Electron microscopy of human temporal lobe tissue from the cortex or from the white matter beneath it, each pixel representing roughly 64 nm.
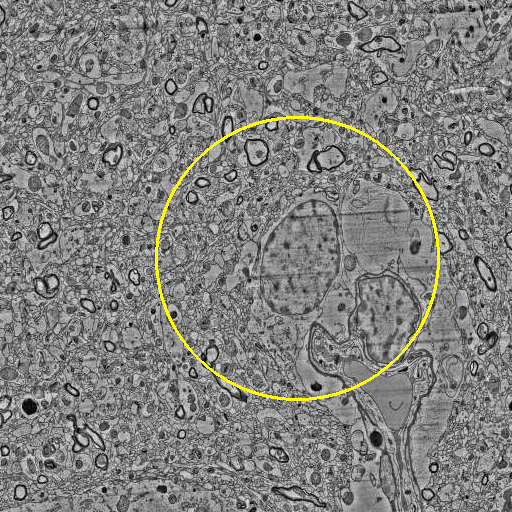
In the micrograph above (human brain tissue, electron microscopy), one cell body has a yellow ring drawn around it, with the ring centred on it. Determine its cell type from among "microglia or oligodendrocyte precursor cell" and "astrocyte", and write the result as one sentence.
The cell whose body is ringed is a microglial cell or oligodendrocyte precursor cell.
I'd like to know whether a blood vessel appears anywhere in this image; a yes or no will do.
Yes.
